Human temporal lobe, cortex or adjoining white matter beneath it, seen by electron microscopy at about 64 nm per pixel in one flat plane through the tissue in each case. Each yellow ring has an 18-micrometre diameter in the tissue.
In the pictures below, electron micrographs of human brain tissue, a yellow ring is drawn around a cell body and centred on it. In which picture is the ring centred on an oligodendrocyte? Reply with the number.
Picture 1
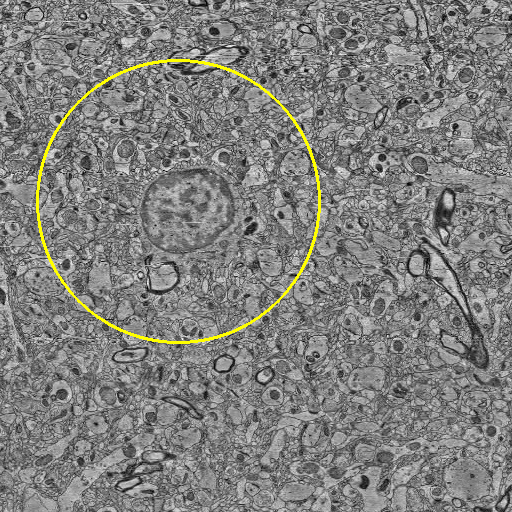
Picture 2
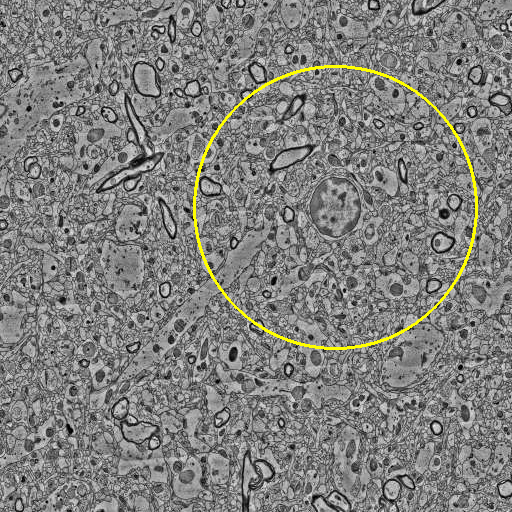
1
